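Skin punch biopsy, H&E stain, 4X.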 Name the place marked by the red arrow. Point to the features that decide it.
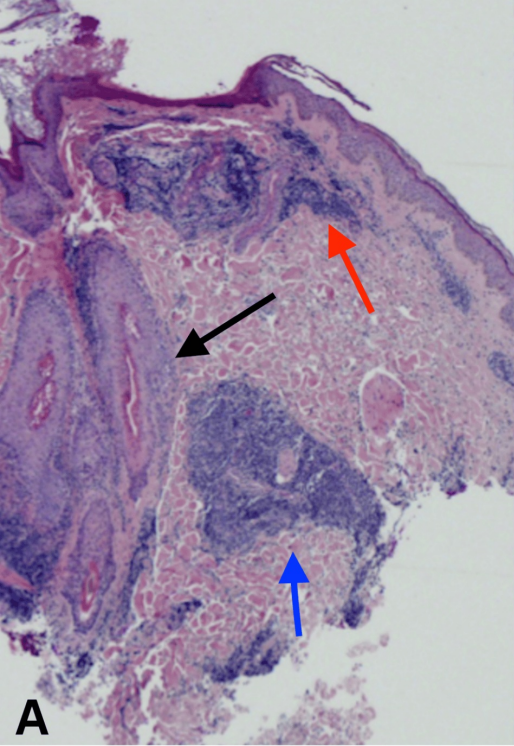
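The arrow points to a dark-purple cell band just beneath the epidermis. It lies in the upper dermis.
Superficial.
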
